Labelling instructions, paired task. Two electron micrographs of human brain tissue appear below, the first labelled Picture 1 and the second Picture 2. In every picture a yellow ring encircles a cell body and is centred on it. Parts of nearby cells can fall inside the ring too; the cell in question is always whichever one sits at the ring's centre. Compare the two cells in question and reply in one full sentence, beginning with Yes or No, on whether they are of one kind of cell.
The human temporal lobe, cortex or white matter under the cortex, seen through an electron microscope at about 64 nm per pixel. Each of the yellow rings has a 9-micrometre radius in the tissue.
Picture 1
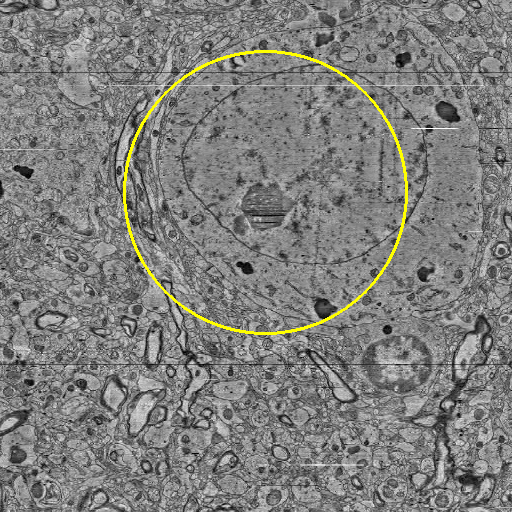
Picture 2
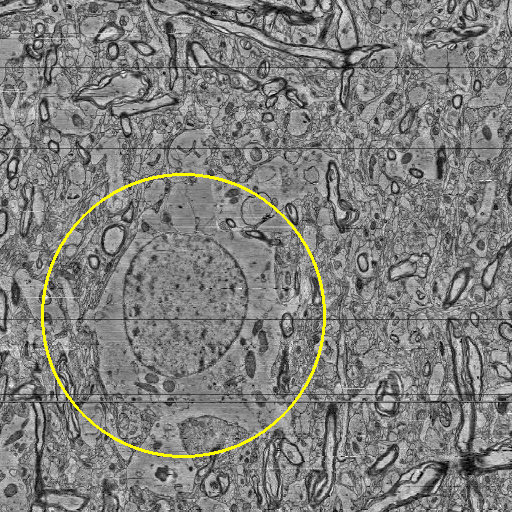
No, the two cells at the ring centres in Picture 1 and Picture 2 are of two kinds.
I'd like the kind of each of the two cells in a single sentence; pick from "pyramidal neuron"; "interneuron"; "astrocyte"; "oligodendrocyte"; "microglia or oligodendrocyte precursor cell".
The first ring marks a pyramidal neuron, and the second ring marks an astrocyte.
